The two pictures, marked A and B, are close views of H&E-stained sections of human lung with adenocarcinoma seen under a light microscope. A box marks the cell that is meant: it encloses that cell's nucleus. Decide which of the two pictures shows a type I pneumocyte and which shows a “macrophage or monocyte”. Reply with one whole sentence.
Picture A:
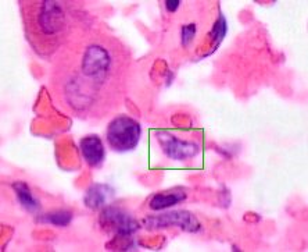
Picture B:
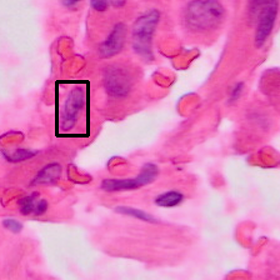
Picture B shows a “macrophage or monocyte”, while picture A shows a type I pneumocyte.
